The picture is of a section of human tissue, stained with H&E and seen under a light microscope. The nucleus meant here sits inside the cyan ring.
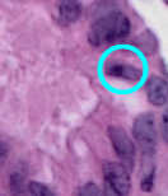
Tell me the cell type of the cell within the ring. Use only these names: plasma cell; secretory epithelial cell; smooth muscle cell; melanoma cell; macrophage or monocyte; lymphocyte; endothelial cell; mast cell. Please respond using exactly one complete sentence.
Placed in its cell category, the cell within the ring is a secretory epithelial cell.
